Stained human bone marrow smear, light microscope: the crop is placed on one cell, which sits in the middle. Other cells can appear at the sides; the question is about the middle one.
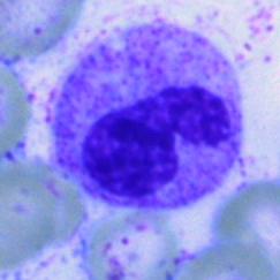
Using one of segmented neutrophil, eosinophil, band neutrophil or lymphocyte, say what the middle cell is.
band neutrophil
